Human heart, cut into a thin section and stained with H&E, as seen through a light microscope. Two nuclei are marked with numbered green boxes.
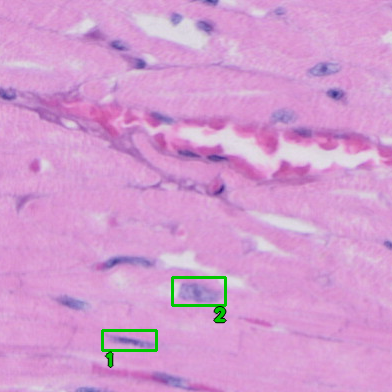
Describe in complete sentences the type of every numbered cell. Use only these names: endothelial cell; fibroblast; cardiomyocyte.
Cell 1 is a fibroblast and cell 2 is a cardiomyocyte.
